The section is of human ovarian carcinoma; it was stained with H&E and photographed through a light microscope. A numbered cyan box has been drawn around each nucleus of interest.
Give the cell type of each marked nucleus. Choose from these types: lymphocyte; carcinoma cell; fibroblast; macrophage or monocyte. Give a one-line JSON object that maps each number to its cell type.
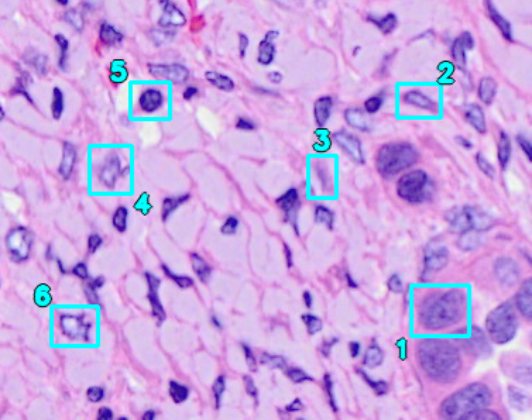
{"1": "carcinoma cell", "2": "fibroblast", "3": "fibroblast", "4": "fibroblast", "5": "lymphocyte", "6": "fibroblast"}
